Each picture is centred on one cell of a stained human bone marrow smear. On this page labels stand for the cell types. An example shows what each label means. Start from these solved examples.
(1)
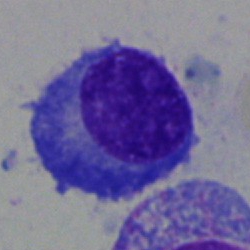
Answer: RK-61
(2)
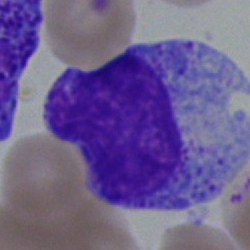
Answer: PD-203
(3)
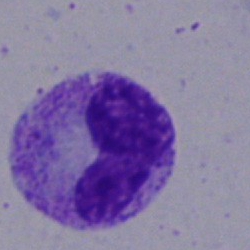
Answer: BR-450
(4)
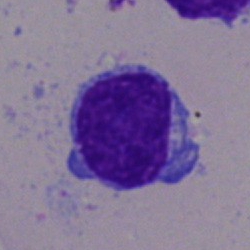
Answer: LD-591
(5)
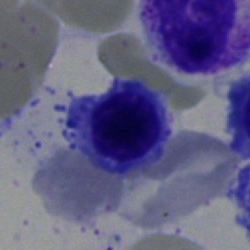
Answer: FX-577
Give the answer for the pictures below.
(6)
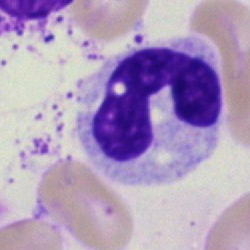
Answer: BR-450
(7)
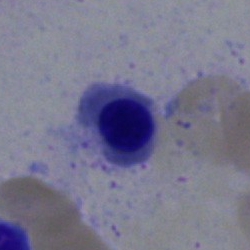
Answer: FX-577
